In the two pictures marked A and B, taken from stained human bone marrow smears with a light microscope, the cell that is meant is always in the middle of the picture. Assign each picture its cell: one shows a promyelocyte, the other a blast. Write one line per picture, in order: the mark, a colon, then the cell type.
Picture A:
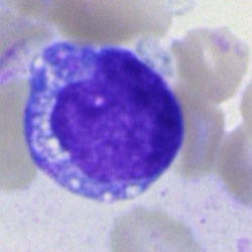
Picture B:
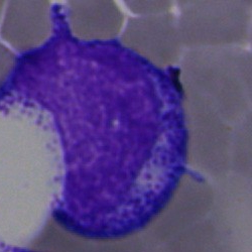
A: blast
B: promyelocyte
